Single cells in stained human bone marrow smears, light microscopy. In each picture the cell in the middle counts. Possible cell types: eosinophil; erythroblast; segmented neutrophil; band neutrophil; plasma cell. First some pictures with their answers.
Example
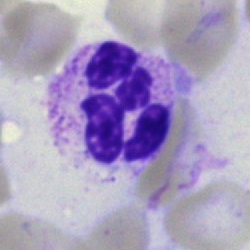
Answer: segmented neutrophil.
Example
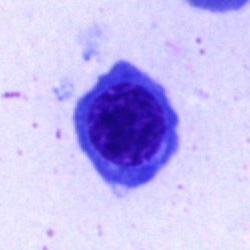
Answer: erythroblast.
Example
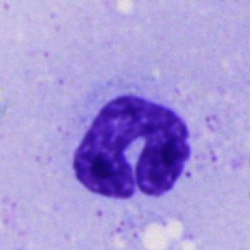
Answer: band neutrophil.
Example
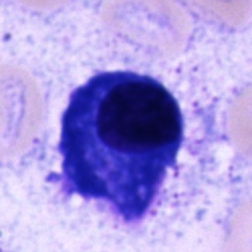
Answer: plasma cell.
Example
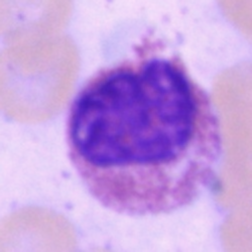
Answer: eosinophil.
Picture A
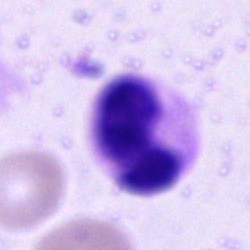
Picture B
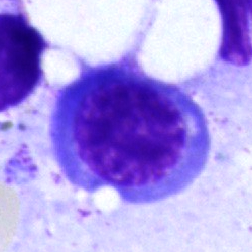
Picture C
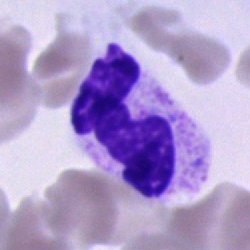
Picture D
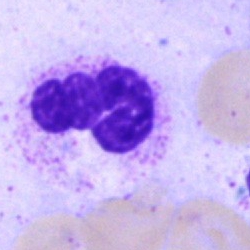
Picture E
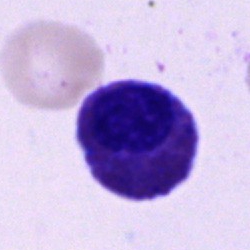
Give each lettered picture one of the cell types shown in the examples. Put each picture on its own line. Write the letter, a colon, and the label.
A: segmented neutrophil.
B: erythroblast.
C: segmented neutrophil.
D: segmented neutrophil.
E: eosinophil.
